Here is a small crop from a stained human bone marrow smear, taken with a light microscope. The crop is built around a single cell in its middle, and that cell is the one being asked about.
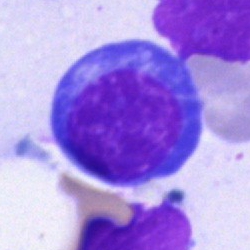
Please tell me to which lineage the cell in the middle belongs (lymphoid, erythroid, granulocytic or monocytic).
erythroid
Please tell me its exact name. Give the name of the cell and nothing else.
erythroblast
